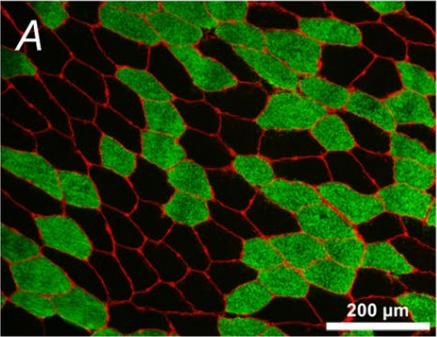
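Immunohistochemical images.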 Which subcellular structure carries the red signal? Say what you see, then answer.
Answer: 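Thin red lines outline every polygonal profile. The red lines lie at the border between neighbouring profiles, both green and dark ones. That points to this answer: Muscle fibre membranes.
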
